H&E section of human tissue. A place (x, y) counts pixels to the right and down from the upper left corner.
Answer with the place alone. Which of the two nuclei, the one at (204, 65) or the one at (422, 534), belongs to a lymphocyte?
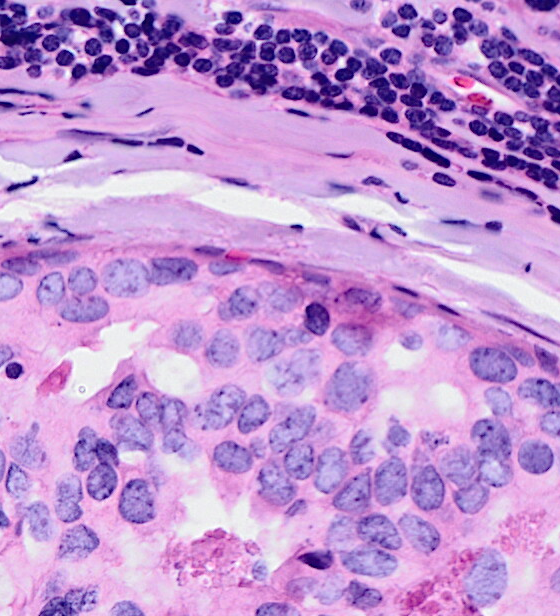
(204, 65)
